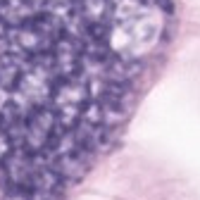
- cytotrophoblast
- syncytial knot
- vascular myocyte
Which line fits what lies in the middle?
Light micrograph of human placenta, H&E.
syncytial knot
